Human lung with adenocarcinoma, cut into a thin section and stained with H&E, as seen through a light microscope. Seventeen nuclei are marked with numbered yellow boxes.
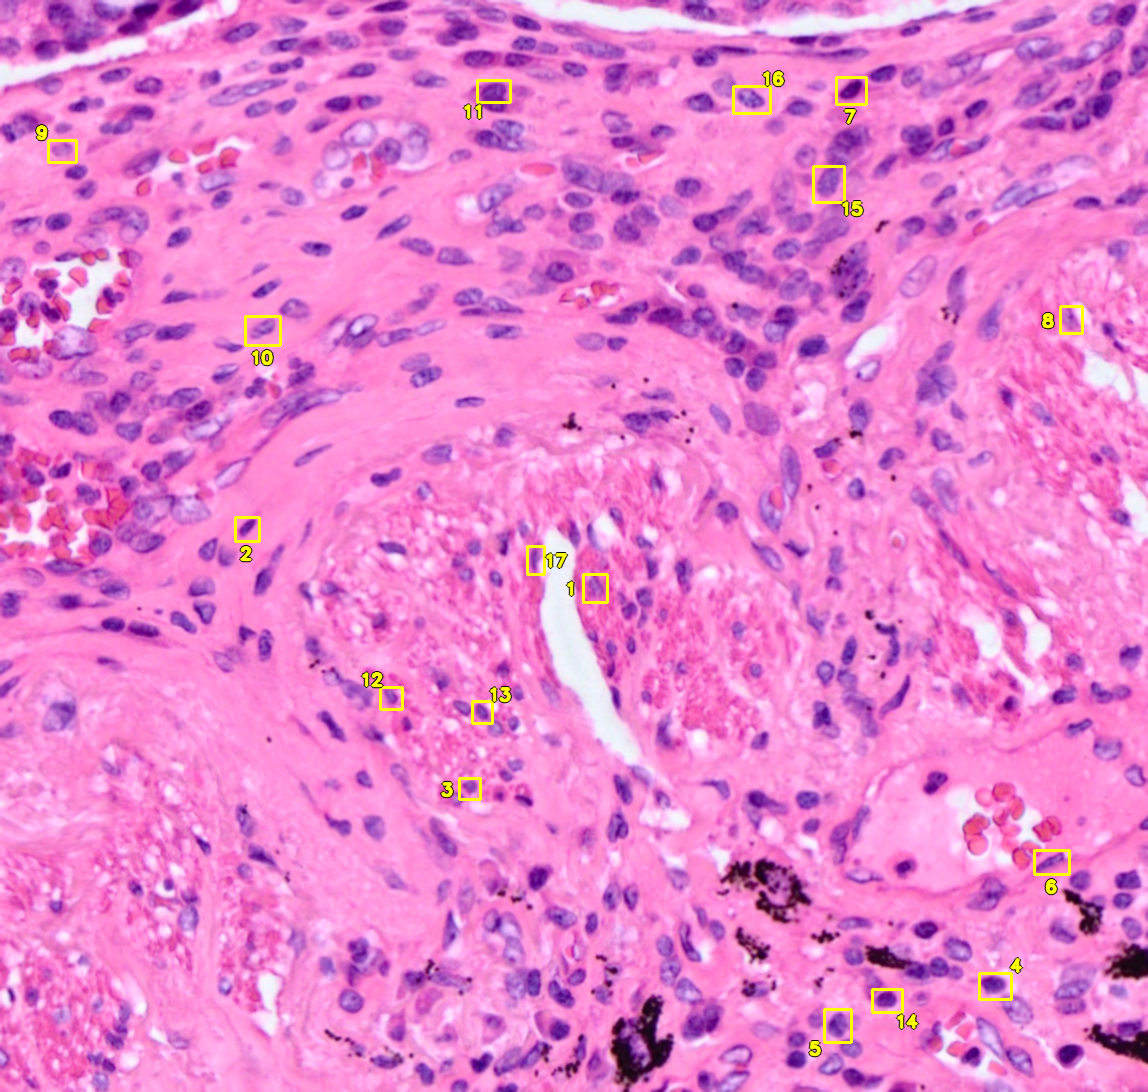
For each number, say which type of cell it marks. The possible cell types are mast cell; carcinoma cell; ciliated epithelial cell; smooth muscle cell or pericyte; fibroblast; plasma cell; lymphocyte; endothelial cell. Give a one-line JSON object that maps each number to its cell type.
{"1": "smooth muscle cell or pericyte", "2": "mast cell", "3": "smooth muscle cell or pericyte", "4": "lymphocyte", "5": "lymphocyte", "6": "endothelial cell", "7": "plasma cell", "8": "smooth muscle cell or pericyte", "9": "mast cell", "10": "mast cell", "11": "plasma cell", "12": "smooth muscle cell or pericyte", "13": "smooth muscle cell or pericyte", "14": "lymphocyte", "15": "mast cell", "16": "mast cell", "17": "smooth muscle cell or pericyte"}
